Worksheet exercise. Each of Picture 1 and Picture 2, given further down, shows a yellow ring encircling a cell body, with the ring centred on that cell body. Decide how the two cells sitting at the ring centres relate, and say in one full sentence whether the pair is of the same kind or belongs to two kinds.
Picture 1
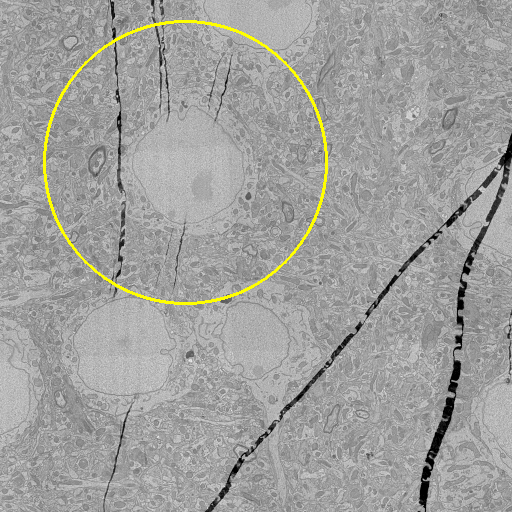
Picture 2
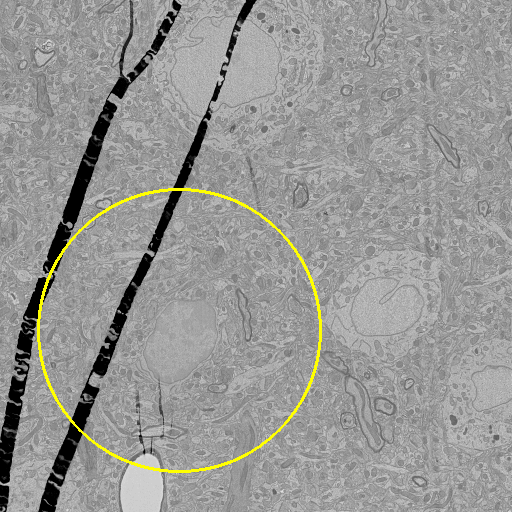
The cells at the ring centres in Picture 1 and Picture 2 belong to two kinds.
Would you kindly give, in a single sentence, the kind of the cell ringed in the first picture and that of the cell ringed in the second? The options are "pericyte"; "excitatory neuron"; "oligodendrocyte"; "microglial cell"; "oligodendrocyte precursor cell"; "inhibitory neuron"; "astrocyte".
The second cell is a microglial cell, and the first cell is an excitatory neuron.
